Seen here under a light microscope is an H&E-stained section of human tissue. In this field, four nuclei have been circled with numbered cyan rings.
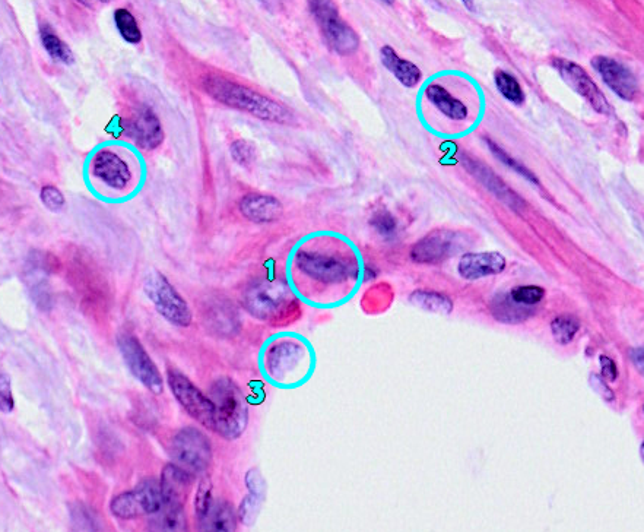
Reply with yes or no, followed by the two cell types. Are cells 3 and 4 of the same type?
No, cell number 3 is an endothelial cell and cell number 4 is a macrophage or monocyte.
